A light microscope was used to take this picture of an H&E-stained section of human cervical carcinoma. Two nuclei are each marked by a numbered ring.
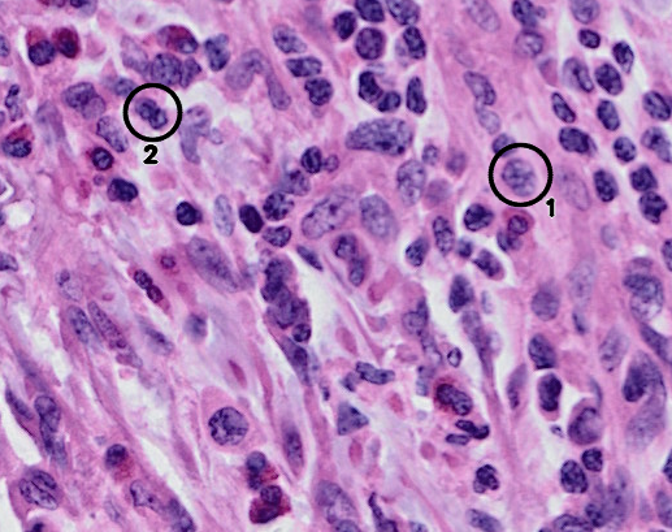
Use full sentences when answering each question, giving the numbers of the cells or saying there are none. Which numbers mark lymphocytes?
Among the marked cells, cell number 2 alone is a lymphocyte.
